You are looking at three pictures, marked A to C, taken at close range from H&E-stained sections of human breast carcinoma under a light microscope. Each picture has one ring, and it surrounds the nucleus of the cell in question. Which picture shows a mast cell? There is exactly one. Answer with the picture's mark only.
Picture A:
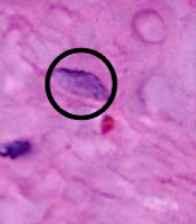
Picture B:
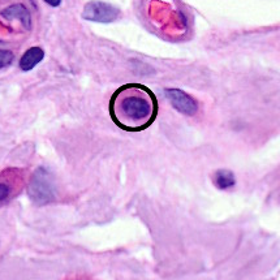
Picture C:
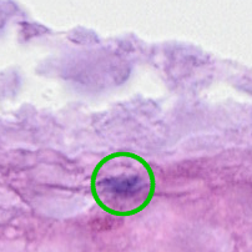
B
